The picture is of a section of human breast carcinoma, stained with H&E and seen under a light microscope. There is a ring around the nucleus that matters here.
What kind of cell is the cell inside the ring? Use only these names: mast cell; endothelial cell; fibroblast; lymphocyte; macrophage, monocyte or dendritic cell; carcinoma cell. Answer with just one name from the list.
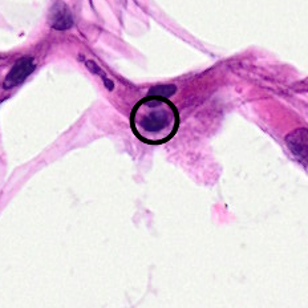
endothelial cell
